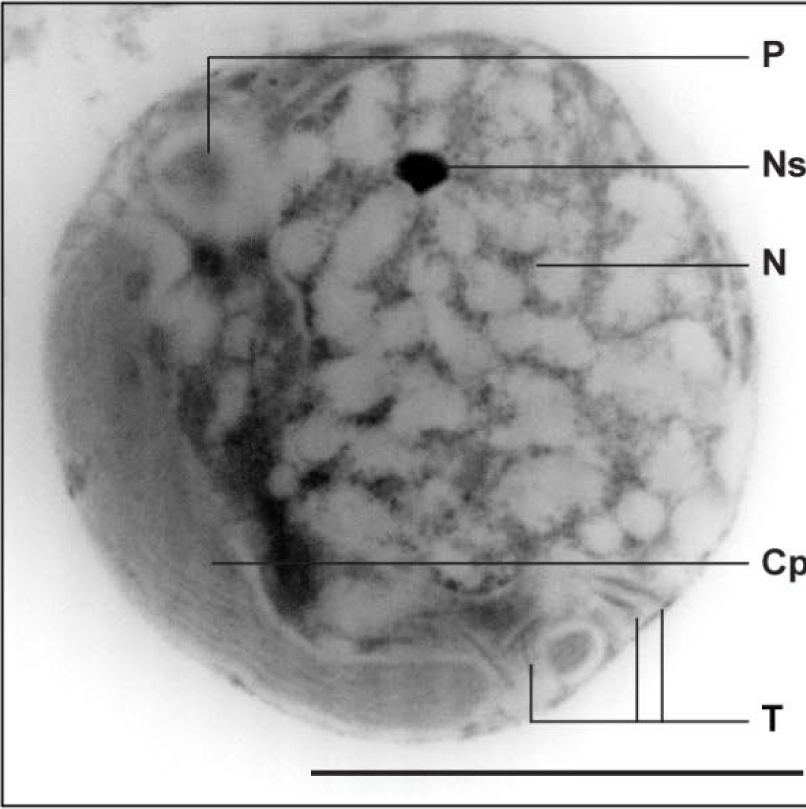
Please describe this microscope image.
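A single rounded cell of the dinoflagellate is seen in section, with a large central nucleus whose many pale rounded chromosomes are separated by a dark meshwork and a small, very dense nucleolus. A darker chloroplast curves along one side of the cell, a pyrenoid lies near the upper edge, and thin rod-like trichocysts sit just beneath the surface at the lower right.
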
